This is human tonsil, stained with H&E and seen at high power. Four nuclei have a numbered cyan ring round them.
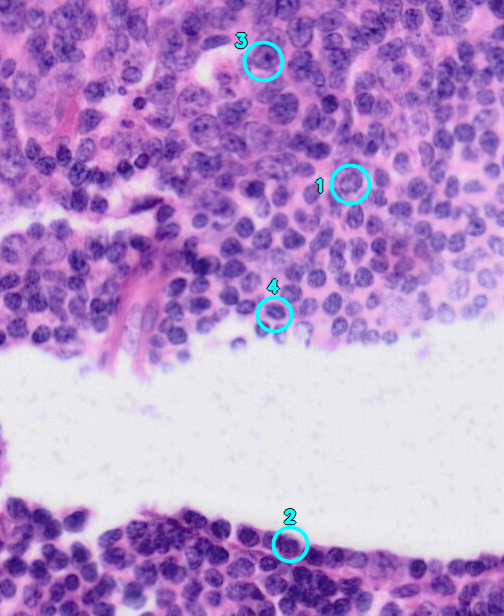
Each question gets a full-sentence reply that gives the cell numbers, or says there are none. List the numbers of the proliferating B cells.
Regarding the numbered cells 1 and 3, these are proliferating B cells.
